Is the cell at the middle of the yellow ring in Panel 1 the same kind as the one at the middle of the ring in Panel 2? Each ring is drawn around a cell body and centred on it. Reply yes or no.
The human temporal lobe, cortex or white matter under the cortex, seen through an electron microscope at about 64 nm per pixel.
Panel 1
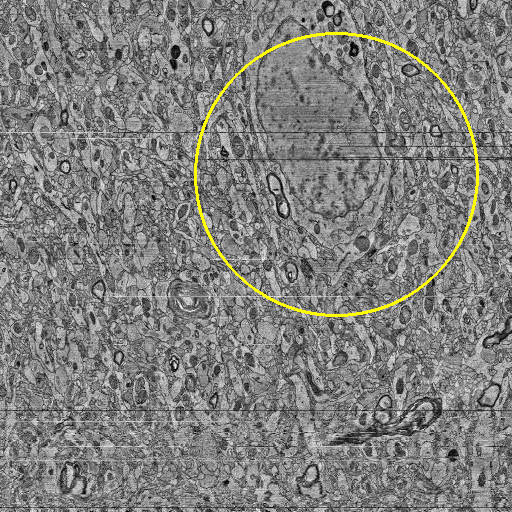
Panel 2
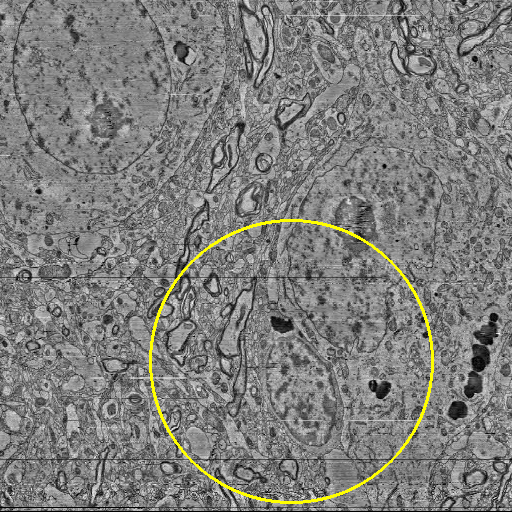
no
